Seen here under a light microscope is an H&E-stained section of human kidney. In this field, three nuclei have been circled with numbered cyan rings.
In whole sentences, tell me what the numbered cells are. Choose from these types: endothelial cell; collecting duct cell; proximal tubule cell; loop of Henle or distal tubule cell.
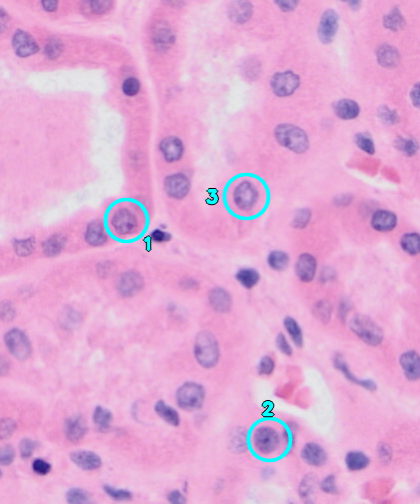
Cells 1 and 3 are proximal tubule cells. Cell 2 is a collecting duct cell.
